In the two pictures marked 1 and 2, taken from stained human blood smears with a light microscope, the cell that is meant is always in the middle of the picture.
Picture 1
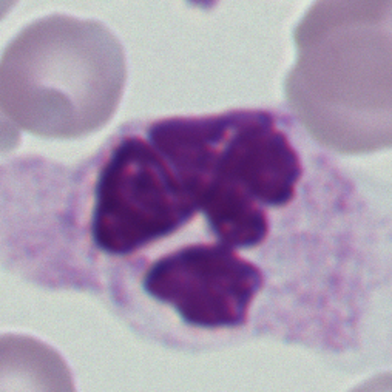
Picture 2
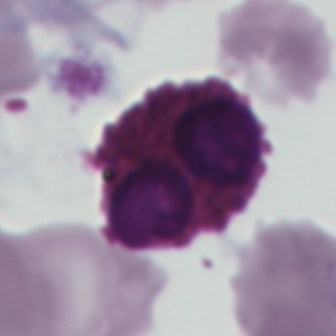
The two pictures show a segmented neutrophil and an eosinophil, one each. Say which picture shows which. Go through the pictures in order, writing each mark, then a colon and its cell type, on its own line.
1: segmented neutrophil
2: eosinophil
